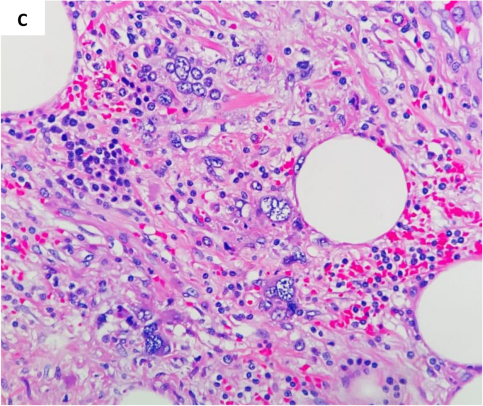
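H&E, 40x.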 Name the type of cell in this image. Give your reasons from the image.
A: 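Large round clear fat vacuoles are scattered across the field. Between them lie many mixed small round cells with dark nuclei, red blood cells and some large cells with clustered nuclei.
Answer: hematopoietic cells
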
